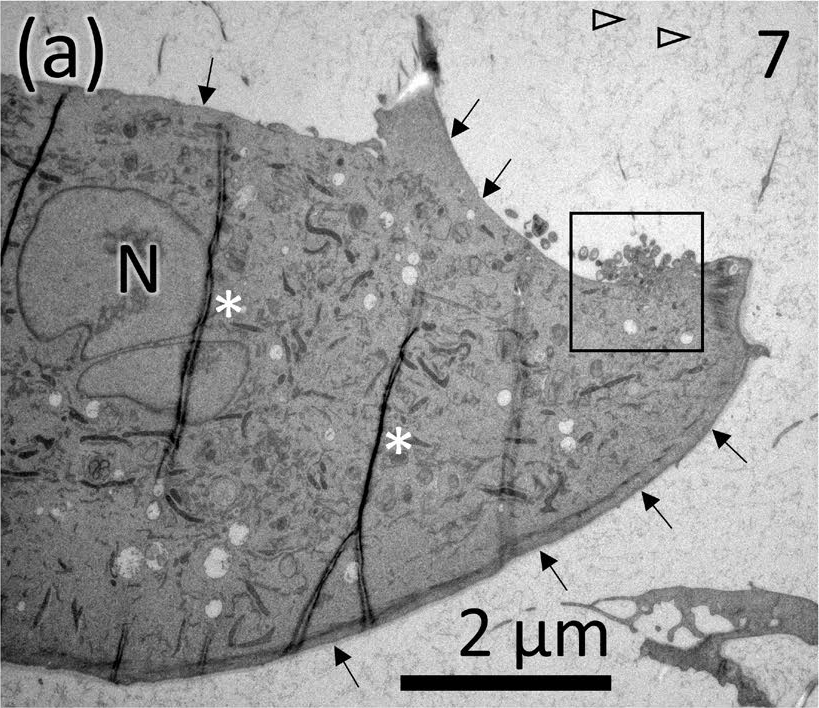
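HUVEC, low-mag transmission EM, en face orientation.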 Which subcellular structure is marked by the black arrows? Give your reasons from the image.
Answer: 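The arrows point to the smooth outer border of the cell against the lighter surrounding medium.
Hence: plasma membrane.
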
